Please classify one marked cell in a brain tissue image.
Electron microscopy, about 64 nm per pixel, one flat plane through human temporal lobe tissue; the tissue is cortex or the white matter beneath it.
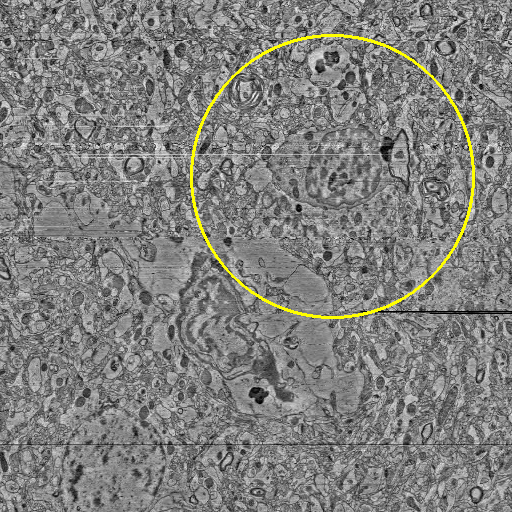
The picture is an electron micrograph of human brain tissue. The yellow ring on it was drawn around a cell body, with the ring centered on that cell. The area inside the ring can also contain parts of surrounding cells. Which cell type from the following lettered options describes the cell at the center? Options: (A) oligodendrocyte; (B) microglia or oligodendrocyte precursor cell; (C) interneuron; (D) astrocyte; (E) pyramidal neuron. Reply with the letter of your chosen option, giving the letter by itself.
A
